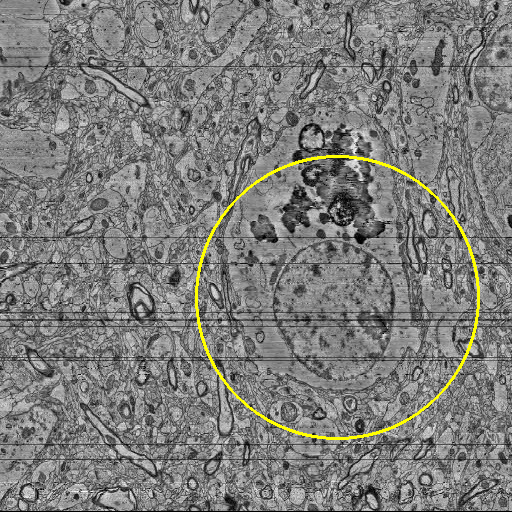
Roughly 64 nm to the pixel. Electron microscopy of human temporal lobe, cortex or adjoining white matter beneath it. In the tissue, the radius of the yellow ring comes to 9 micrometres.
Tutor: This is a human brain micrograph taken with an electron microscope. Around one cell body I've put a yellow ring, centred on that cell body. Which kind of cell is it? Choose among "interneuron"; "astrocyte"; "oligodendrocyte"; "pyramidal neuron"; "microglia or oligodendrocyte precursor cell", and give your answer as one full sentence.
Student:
Going by your list, the cell centred in the yellow ring is an astrocyte.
